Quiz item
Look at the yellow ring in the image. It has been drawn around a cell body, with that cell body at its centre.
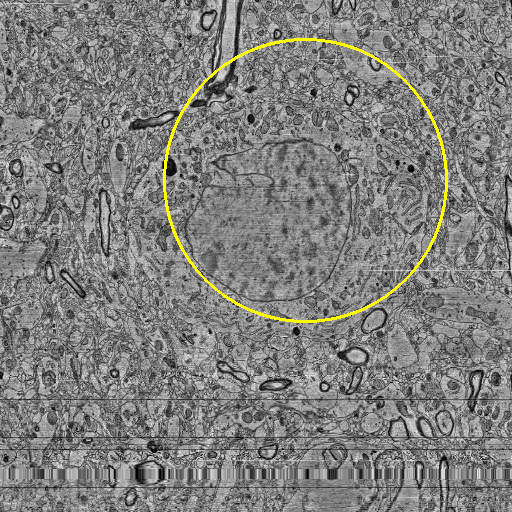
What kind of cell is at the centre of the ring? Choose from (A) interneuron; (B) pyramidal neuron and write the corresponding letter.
A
